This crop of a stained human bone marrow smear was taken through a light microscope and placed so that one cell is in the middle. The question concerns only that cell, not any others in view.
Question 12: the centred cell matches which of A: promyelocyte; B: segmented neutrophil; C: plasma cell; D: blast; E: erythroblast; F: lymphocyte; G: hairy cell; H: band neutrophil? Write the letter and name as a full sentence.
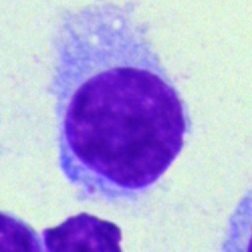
In this crop the central cell is a hairy cell, which option G correctly states.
